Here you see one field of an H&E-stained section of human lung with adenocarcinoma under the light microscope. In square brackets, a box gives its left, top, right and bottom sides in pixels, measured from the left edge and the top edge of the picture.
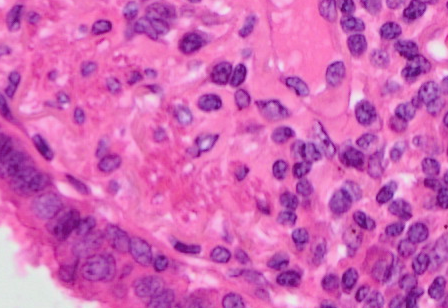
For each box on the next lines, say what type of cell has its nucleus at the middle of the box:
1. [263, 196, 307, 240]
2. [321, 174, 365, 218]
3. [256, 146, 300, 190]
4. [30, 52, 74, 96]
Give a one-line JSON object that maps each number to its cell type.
{"1": "lymphocyte", "2": "lymphocyte", "3": "lymphocyte", "4": "smooth muscle cell or pericyte"}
